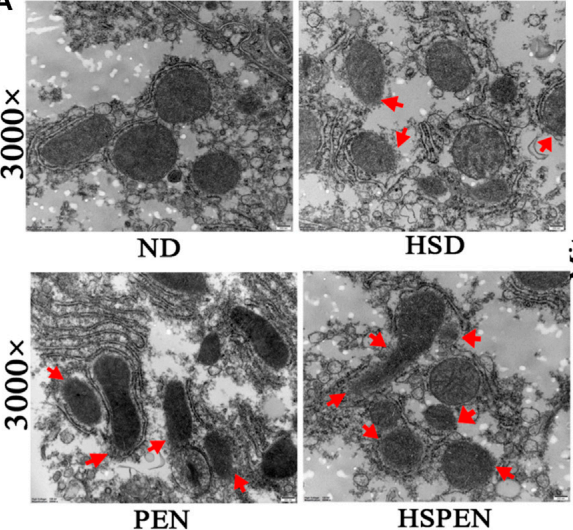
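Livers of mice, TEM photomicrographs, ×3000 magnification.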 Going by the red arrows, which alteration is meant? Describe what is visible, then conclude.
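The red arrows point at the edges of large, rounded, electron-dense organelles with an internal membrane texture. At several arrowed sites the bounding membrane of these organelles looks broken or pulled away. On this evidence: Swollen mitochondria and mitochondrial membrane rupture.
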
